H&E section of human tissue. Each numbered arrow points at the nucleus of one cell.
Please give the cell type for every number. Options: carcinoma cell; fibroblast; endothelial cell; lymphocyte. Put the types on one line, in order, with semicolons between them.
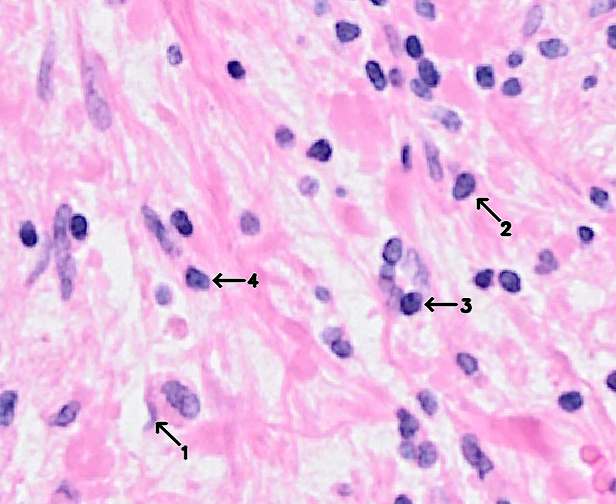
fibroblast; lymphocyte; lymphocyte; lymphocyte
